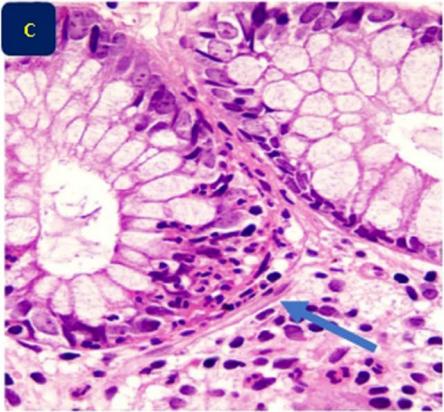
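These are colonic crypts cut across, lined by tall epithelial cells packed with pale, rounded goblet cells whose mucus looks clear. Between the crypts lies a thin pink stroma with scattered small nuclei. Along the wall of one crypt, small inflammatory cells with dark nuclei crowd in among and beneath the epithelial cells. The inflammation of the crypt epithelium itself is what sets this apart from a normal crypt.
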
